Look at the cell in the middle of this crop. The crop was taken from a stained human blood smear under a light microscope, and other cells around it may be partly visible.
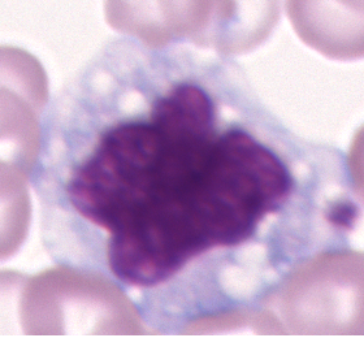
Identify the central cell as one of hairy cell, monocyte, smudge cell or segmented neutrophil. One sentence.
The cell nearest the centre of this crop is a monocyte.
